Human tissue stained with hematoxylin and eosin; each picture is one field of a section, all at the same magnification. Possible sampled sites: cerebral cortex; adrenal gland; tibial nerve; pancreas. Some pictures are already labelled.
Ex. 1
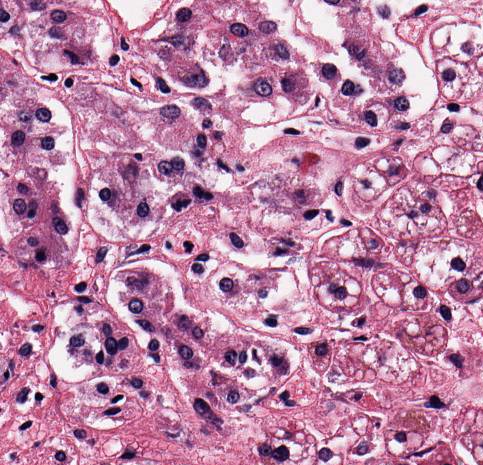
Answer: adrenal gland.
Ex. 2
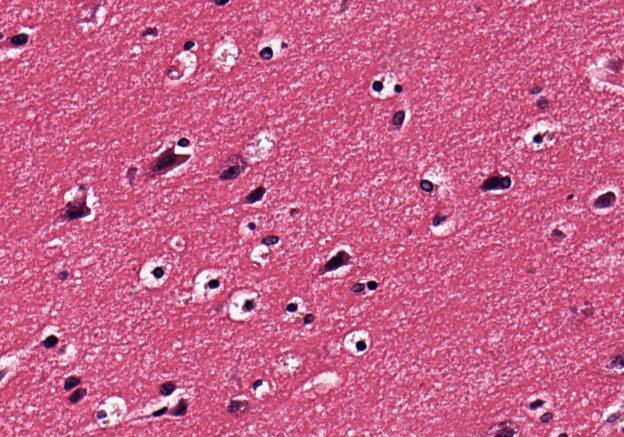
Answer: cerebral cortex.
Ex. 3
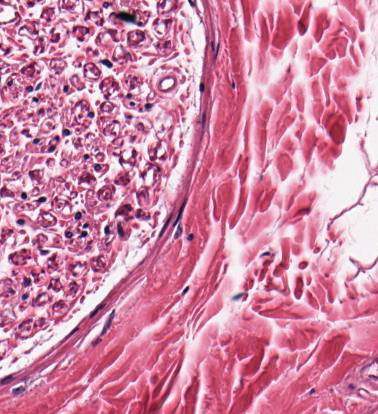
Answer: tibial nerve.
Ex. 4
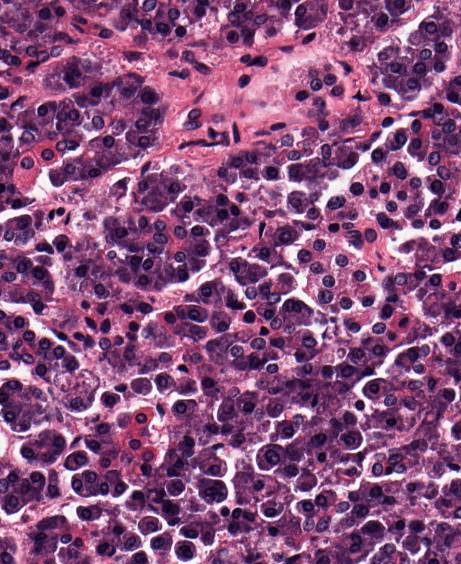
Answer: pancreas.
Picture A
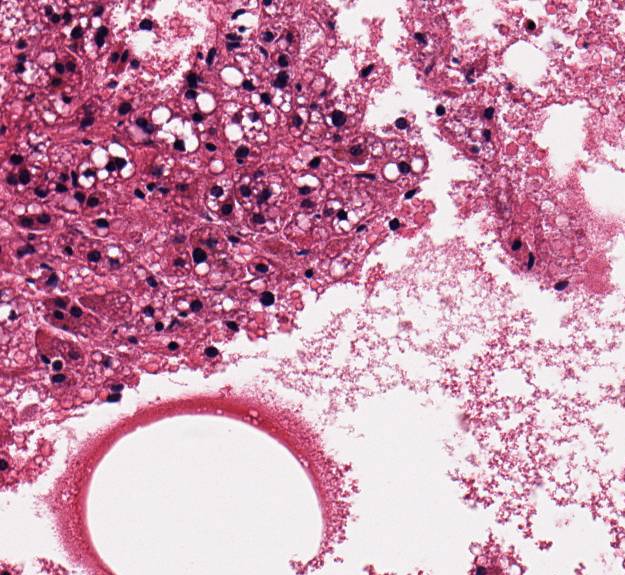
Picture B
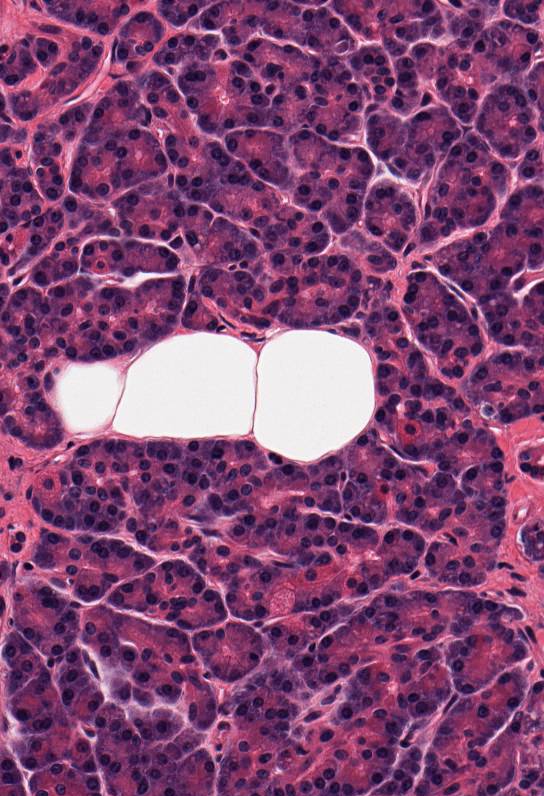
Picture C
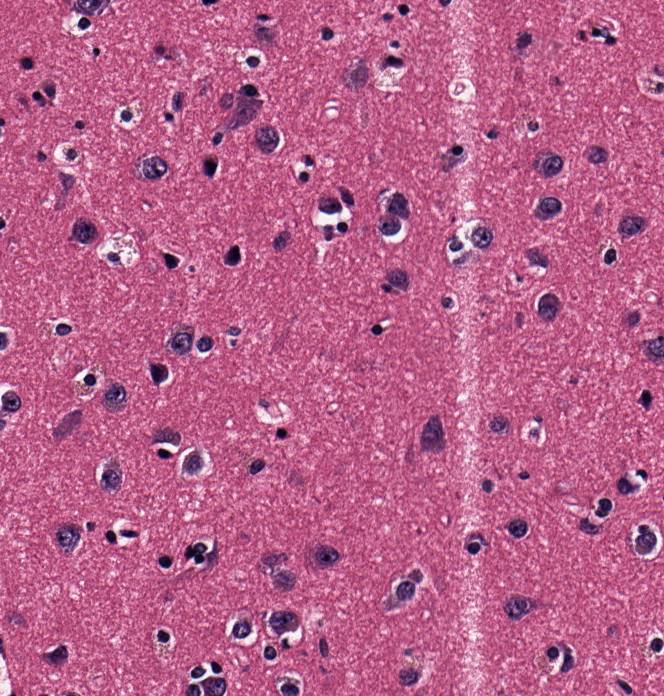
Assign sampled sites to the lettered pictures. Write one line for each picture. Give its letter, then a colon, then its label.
A: adrenal gland.
B: pancreas.
C: cerebral cortex.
